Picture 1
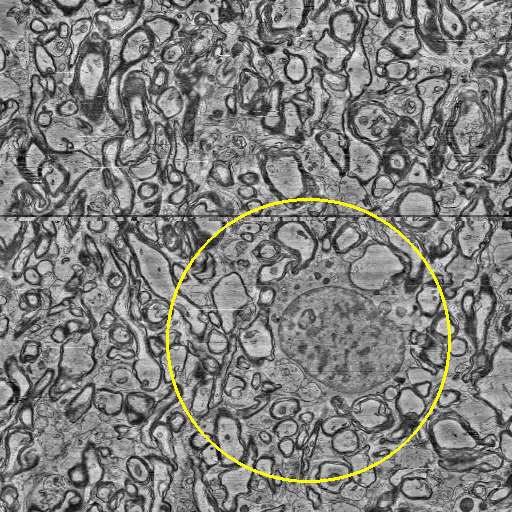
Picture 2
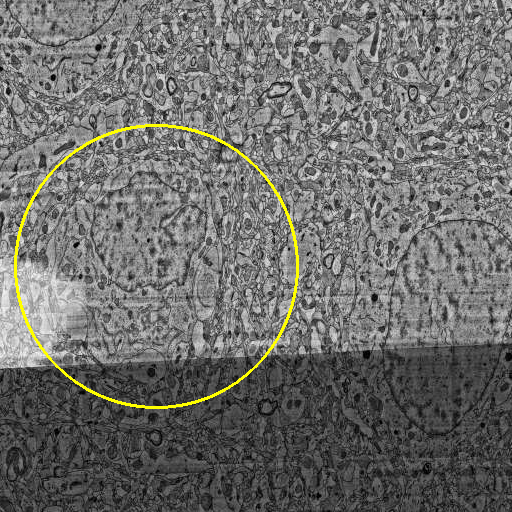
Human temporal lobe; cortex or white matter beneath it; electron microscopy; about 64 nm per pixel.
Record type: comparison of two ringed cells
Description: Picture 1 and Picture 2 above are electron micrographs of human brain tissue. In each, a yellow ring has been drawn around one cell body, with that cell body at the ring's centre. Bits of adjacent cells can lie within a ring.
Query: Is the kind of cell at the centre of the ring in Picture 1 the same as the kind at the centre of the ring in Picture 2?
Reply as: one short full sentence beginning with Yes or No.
No, the two ringed cells are of two separate kinds.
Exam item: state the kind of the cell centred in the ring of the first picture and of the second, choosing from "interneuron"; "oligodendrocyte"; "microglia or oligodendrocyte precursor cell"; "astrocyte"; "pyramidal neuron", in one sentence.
The first picture shows an oligodendrocyte at the ring centre and the second shows an interneuron.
